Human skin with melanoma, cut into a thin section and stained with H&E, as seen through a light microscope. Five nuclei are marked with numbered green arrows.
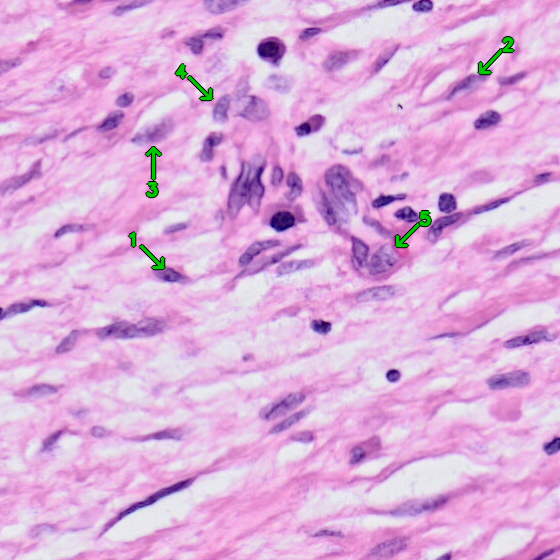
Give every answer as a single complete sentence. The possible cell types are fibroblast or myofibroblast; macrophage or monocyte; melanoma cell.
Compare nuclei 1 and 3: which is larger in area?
Nucleus 3 covers more area, about 1.5 times as much as nucleus 1.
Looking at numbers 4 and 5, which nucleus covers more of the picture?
Of the two, number 5 is bigger and takes up about 1.5 times the area of number 4.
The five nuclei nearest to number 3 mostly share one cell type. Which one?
Most of the five nuclei nearest to number 3 are those of macrophages or monocytes.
